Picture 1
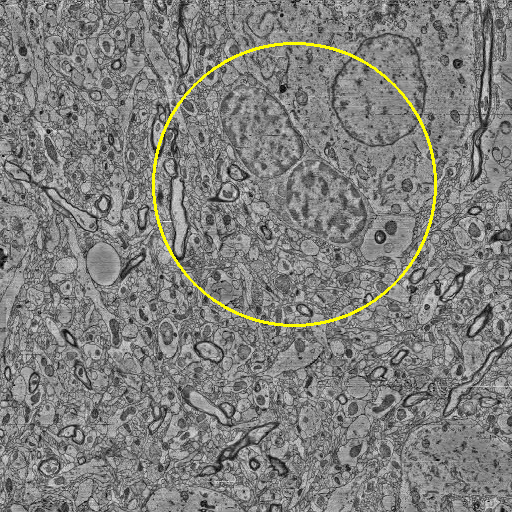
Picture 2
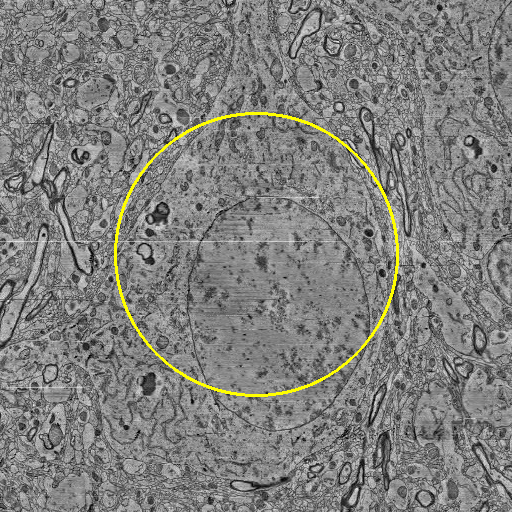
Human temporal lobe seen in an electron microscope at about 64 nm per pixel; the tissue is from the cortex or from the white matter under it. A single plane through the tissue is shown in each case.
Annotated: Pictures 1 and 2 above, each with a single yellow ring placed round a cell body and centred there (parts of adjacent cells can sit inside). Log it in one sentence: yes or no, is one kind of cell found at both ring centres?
No, the ring centres of the two pictures hold cells of two kinds.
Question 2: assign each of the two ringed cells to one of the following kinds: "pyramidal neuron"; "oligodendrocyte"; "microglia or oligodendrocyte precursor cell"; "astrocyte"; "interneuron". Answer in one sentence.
The two cells are an oligodendrocyte in the first picture and a pyramidal neuron in the second.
